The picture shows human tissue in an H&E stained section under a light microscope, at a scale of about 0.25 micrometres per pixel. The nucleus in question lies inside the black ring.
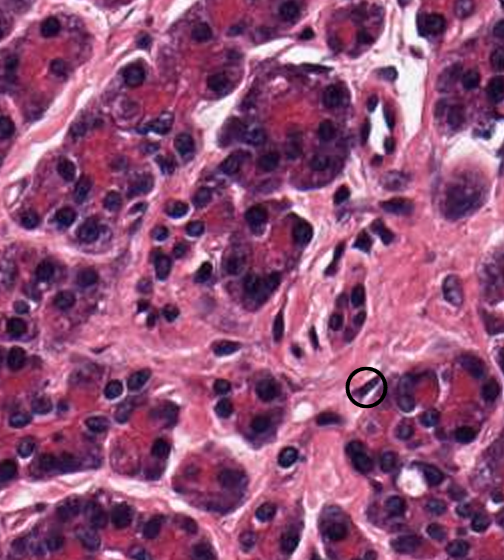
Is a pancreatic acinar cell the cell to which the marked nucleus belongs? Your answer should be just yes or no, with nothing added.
no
